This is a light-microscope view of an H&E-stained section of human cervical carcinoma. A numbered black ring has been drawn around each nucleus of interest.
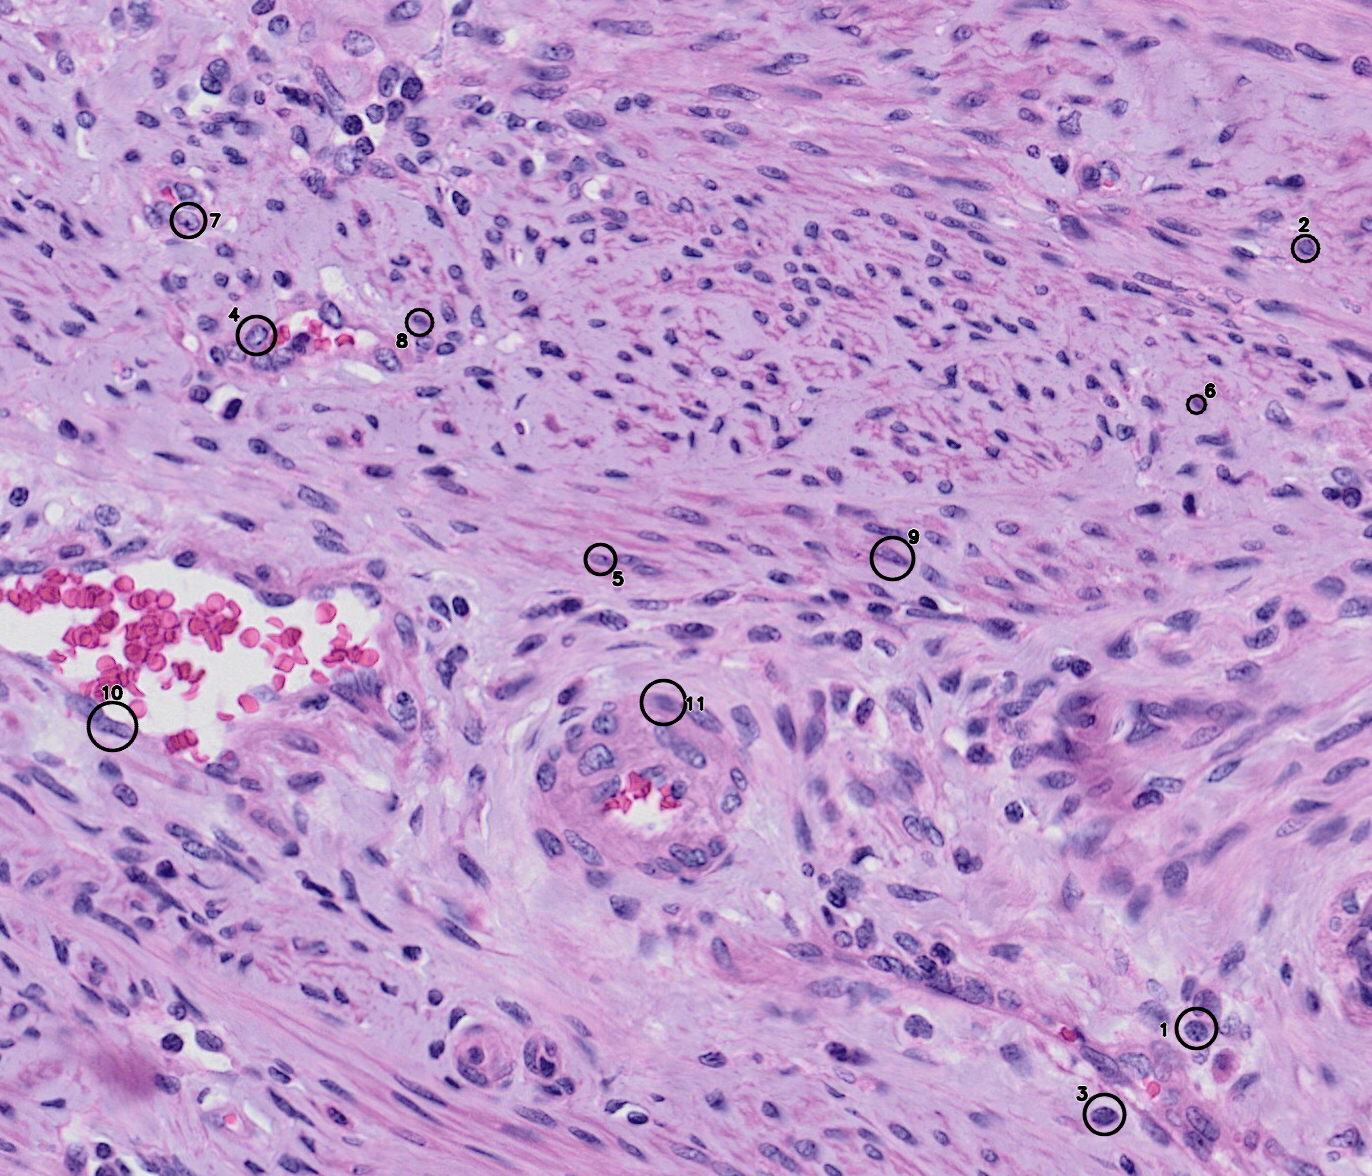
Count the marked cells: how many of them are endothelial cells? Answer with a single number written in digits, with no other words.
3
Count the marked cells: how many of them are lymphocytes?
2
